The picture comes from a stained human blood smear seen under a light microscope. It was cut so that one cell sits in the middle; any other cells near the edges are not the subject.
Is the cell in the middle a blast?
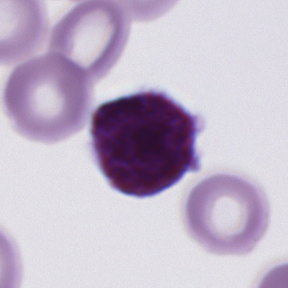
yes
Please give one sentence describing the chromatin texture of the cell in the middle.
If you check the nucleus, you will find the chromatin coarsely clumped.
